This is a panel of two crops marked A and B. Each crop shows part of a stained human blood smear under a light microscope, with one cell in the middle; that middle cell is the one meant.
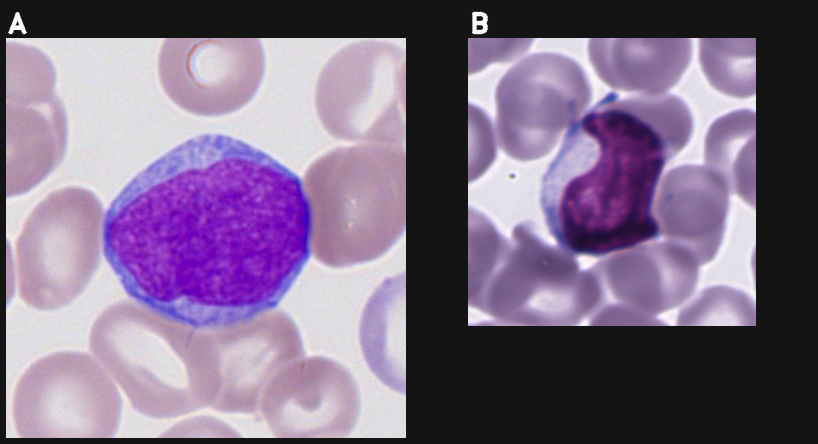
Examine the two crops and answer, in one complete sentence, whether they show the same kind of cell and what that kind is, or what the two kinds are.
No, crop A features a blast, while crop B features a lymphocyte.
